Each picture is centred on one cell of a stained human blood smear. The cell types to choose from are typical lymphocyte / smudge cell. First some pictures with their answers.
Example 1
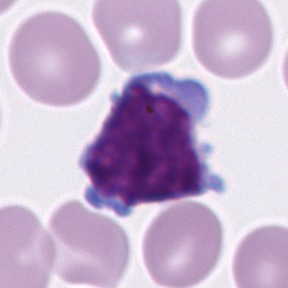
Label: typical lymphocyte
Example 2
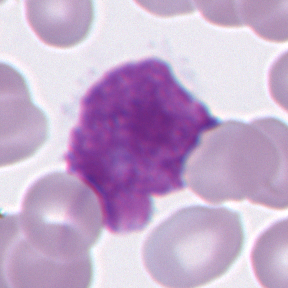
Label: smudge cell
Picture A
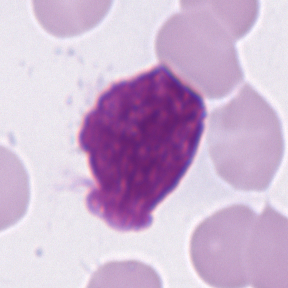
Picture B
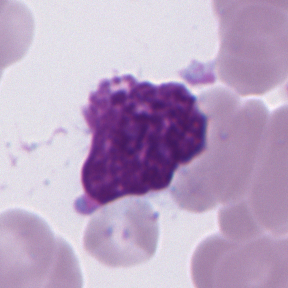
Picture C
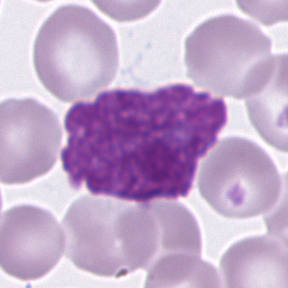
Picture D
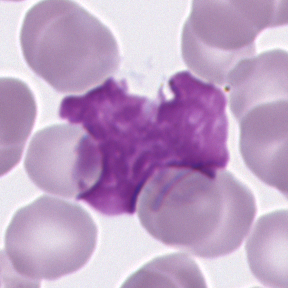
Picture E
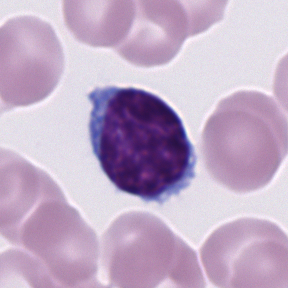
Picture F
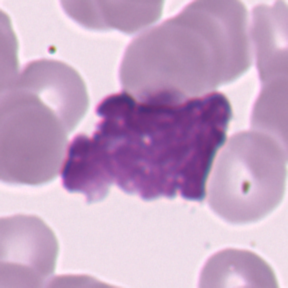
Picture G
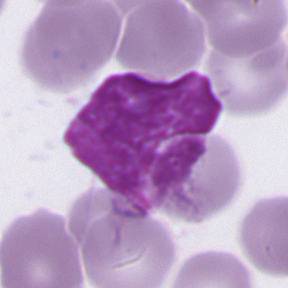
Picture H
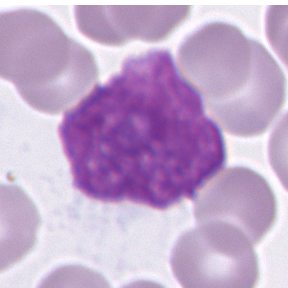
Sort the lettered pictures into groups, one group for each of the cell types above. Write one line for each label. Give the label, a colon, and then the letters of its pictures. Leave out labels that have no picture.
typical lymphocyte: E
smudge cell: A, B, C, D, F, G, H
